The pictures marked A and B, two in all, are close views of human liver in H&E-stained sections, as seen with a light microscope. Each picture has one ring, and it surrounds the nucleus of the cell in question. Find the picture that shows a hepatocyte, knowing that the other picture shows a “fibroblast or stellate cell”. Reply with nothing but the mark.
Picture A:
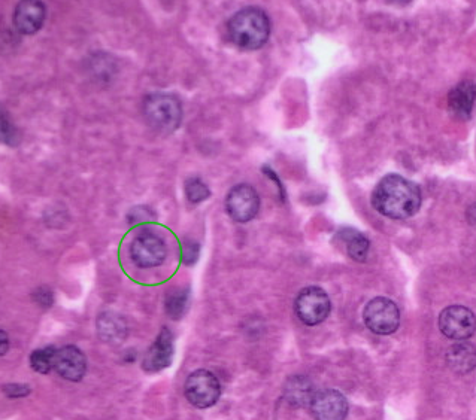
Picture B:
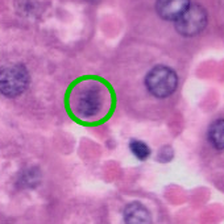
A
